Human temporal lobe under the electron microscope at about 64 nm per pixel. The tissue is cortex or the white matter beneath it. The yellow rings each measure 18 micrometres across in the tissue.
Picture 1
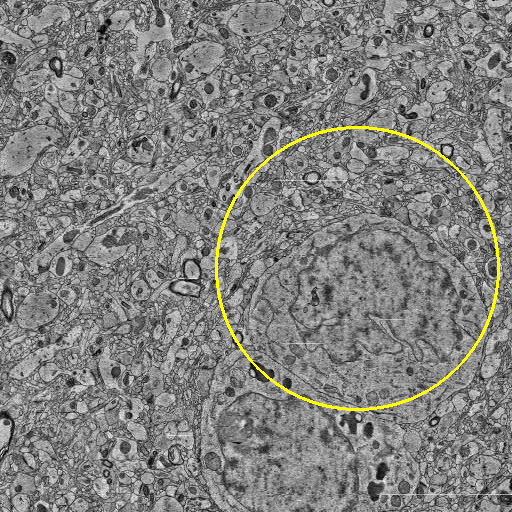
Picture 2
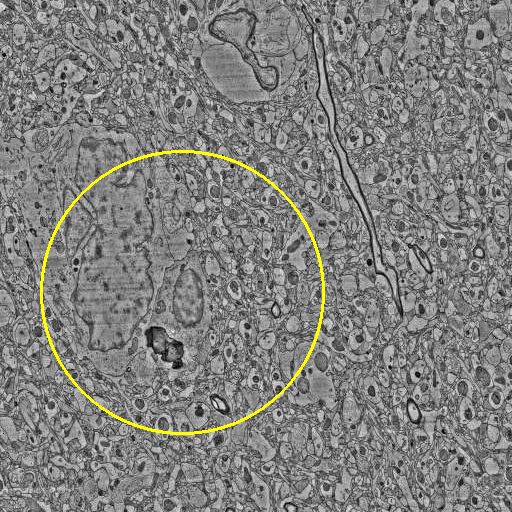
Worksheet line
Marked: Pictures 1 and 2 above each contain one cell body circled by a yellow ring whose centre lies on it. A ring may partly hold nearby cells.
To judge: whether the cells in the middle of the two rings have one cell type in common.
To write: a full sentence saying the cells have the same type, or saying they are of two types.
The cells in the middle of the rings in Picture 1 and Picture 2 are of two types.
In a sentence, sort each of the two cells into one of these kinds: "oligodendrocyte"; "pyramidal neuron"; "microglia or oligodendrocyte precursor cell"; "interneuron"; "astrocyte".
The first of the two cells is an interneuron, and the second is an oligodendrocyte.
